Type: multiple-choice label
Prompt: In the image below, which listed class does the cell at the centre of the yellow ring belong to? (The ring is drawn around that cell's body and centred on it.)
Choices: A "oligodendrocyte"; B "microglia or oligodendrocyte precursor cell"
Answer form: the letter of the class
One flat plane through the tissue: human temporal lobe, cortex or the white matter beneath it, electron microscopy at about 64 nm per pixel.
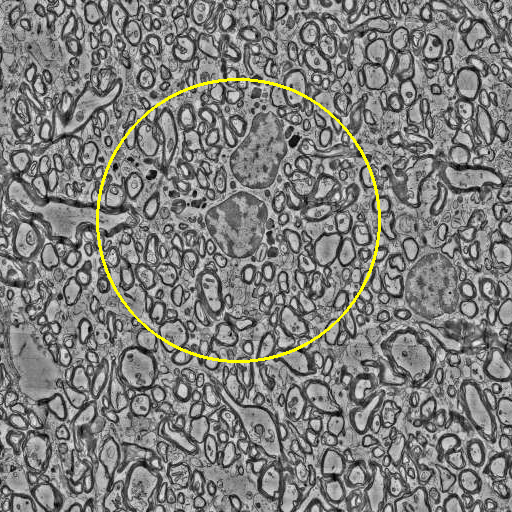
B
